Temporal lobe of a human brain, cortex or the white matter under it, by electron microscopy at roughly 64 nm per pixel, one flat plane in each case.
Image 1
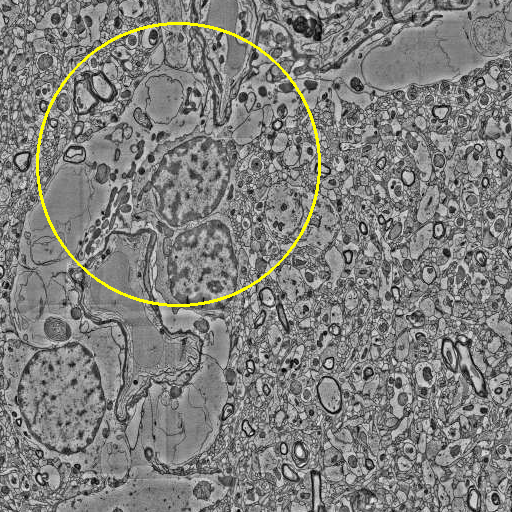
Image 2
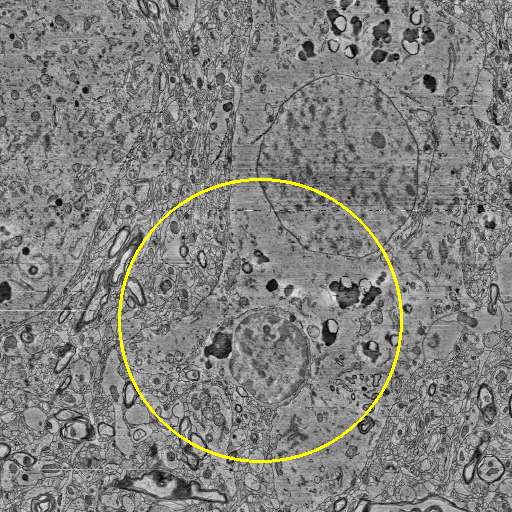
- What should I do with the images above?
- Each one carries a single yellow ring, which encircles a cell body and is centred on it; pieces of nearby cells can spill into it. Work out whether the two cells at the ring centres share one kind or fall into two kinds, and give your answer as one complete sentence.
The ring-centre cells of Image 1 and Image 2 share one kind.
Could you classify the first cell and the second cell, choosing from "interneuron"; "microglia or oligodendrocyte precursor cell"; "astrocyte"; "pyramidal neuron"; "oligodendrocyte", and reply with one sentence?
The cell at the ring centre is an oligodendrocyte in both pictures.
